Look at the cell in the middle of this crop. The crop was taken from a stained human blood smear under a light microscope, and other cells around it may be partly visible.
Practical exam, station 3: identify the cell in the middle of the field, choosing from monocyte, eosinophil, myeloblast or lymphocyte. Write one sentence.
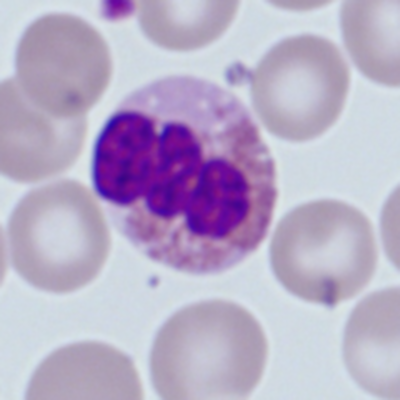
The cell featured at the centre of this crop is an eosinophil.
